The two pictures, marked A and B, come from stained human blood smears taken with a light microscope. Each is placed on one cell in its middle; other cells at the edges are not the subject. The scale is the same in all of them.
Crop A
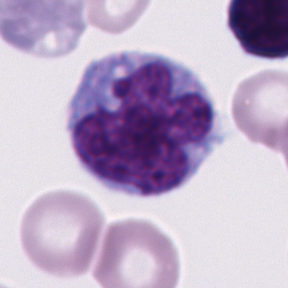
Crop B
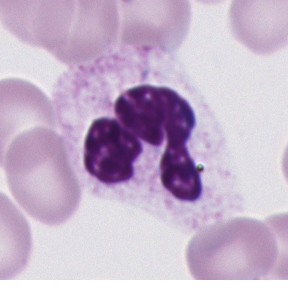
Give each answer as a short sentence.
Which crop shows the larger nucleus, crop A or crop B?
It is the nucleus in crop A, about 1.5 times as large in area as the one in crop B.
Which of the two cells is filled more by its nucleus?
In crop A the nucleus takes up the larger part of its cell.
